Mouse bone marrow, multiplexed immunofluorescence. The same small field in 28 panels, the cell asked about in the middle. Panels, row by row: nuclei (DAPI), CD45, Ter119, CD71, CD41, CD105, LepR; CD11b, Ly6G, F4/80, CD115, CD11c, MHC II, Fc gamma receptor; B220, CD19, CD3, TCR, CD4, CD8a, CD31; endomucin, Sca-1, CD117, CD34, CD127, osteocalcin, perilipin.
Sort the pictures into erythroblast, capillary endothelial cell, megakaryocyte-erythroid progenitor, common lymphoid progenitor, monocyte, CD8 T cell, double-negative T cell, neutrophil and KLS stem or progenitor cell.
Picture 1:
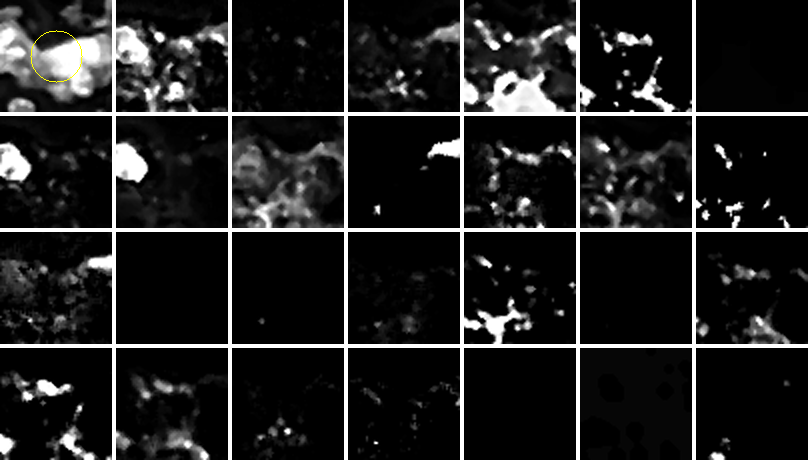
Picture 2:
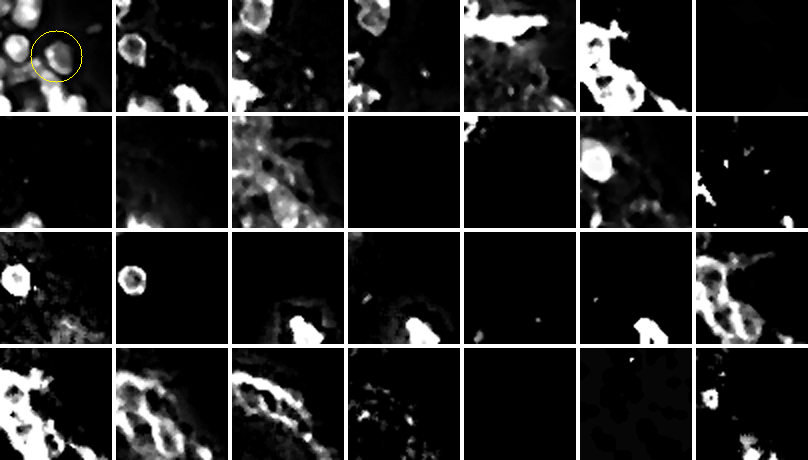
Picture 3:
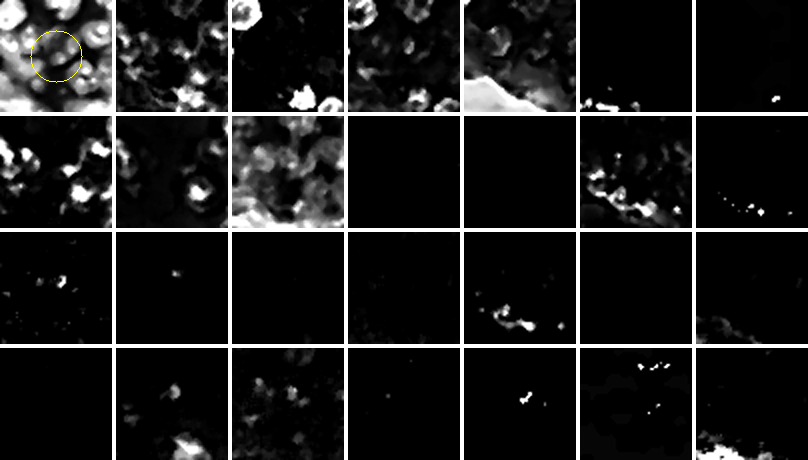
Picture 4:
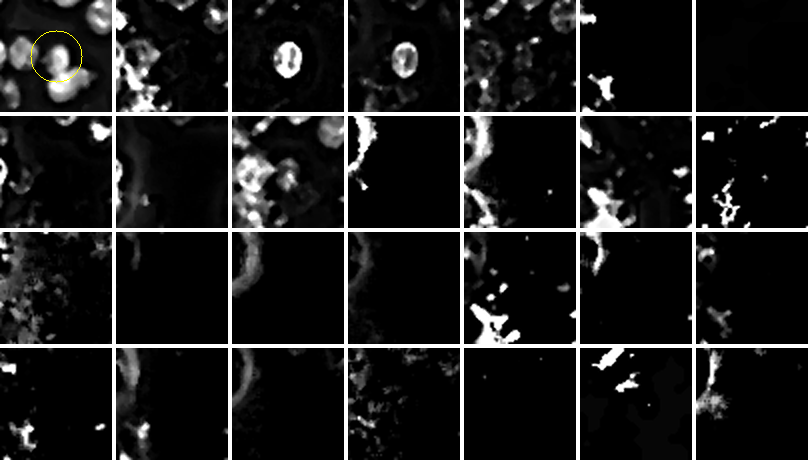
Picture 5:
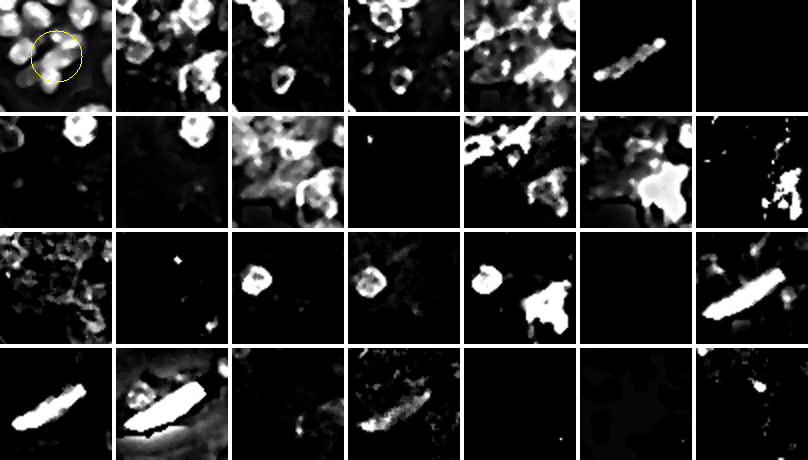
Capillary endothelial cells: 1, 5
Megakaryocyte-erythroid progenitors: 2
Common lymphoid progenitors: 3
Erythroblasts: 4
